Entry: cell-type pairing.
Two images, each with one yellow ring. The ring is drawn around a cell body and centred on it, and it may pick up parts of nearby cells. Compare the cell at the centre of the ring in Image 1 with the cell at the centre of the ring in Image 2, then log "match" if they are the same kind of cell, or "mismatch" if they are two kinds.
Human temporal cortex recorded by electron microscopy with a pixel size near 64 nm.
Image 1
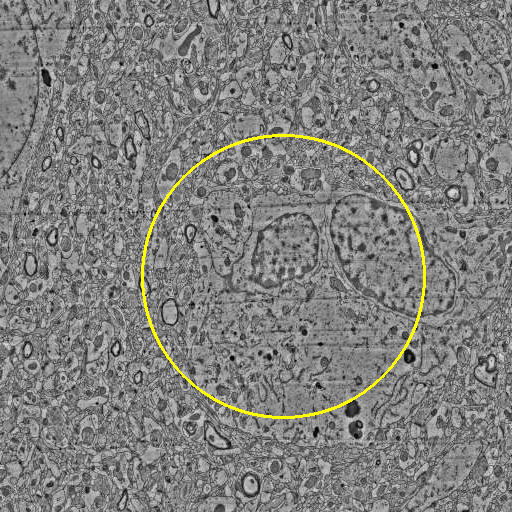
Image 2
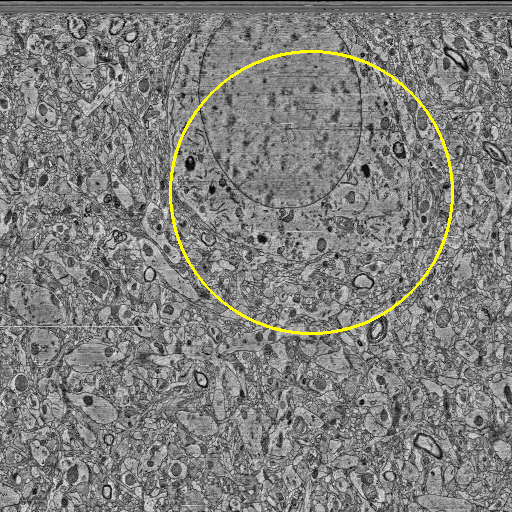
mismatch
